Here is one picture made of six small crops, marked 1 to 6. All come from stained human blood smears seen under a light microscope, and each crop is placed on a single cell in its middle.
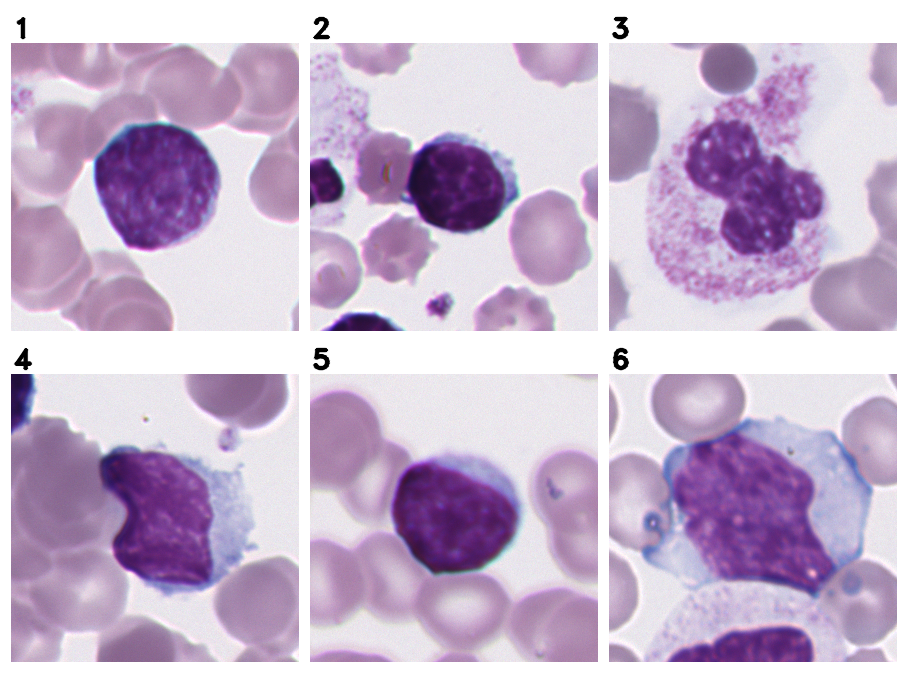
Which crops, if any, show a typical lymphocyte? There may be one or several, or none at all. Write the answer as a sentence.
What crops 1, 2, 4 and 5 show in the middle are typical lymphocytes.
